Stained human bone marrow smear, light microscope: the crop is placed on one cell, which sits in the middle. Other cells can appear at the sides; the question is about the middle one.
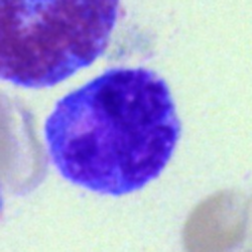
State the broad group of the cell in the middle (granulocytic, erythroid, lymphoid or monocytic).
monocytic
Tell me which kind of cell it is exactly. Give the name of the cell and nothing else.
monocyte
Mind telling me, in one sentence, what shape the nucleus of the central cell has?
The cell carries one compact nucleus shaped round, oval or like a kidney.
